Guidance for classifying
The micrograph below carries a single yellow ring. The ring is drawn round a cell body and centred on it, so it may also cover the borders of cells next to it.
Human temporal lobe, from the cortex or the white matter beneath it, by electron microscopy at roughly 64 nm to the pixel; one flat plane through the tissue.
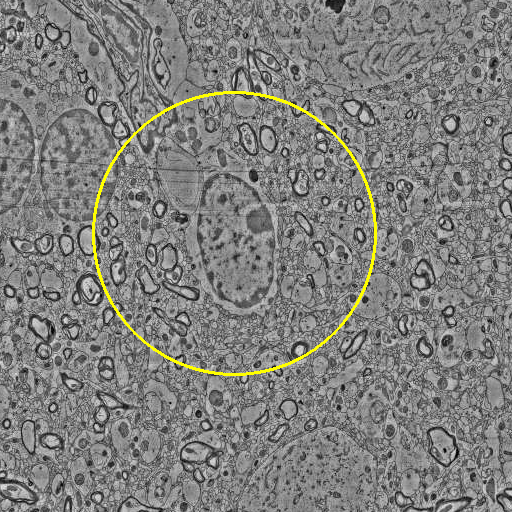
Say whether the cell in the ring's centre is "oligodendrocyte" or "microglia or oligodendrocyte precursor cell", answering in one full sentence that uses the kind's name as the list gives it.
Within the yellow ring, a microglial cell or oligodendrocyte precursor cell is the cell whose body sits at the centre.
